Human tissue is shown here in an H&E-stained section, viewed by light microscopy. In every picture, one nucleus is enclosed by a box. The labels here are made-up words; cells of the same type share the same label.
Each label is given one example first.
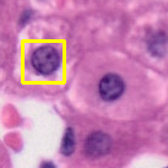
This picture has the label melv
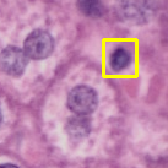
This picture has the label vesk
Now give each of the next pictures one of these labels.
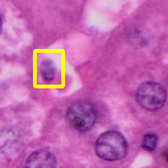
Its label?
vesk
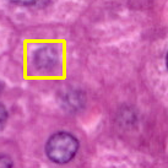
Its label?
melv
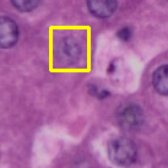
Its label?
melv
